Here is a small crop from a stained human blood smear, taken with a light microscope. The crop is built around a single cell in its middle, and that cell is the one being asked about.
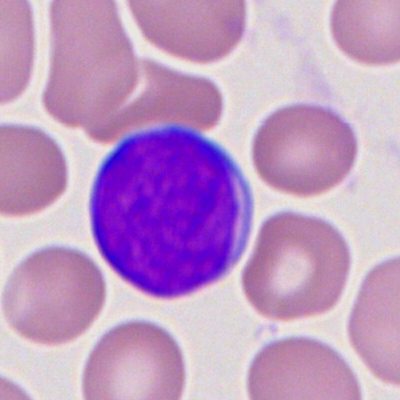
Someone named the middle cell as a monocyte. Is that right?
no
